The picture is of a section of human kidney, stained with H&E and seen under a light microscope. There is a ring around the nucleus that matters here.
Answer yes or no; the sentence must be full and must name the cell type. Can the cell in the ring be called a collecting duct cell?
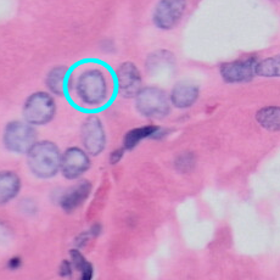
Yes, in this field of view, the cell in the ring is a collecting duct cell.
